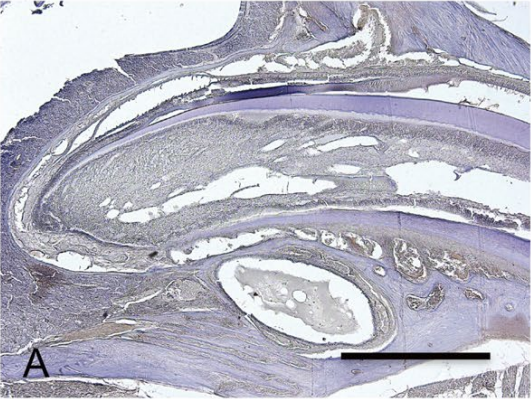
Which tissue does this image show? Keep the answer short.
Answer: incisors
